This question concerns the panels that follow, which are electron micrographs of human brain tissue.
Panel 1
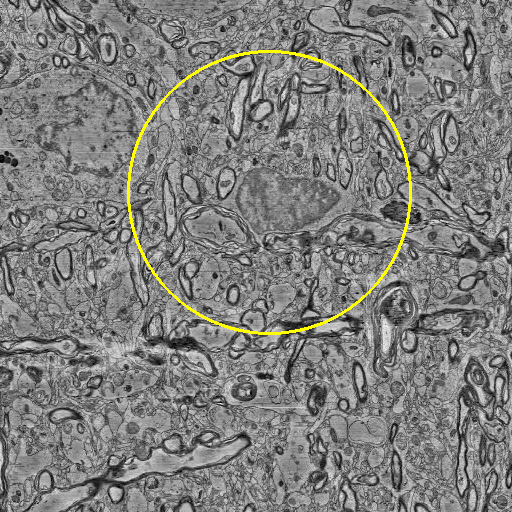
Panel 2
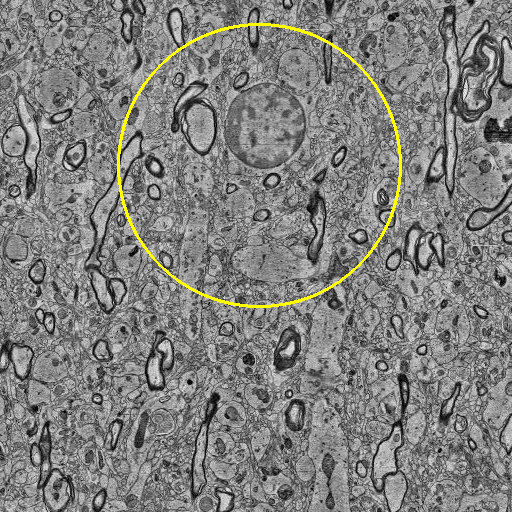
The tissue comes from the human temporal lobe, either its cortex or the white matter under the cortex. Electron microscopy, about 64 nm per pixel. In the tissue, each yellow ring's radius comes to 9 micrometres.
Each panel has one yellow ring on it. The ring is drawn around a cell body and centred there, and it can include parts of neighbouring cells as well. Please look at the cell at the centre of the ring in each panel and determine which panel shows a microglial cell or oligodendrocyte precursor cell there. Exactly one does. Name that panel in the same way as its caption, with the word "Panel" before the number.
Panel 2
